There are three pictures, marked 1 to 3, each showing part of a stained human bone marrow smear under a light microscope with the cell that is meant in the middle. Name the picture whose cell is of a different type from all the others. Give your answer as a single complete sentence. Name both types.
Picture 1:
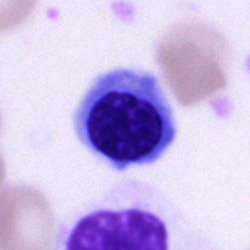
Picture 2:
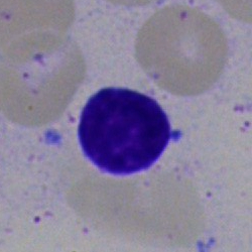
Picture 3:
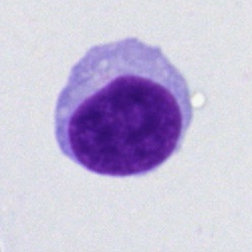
The others show lymphocytes, but picture 1 shows an erythroblast.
